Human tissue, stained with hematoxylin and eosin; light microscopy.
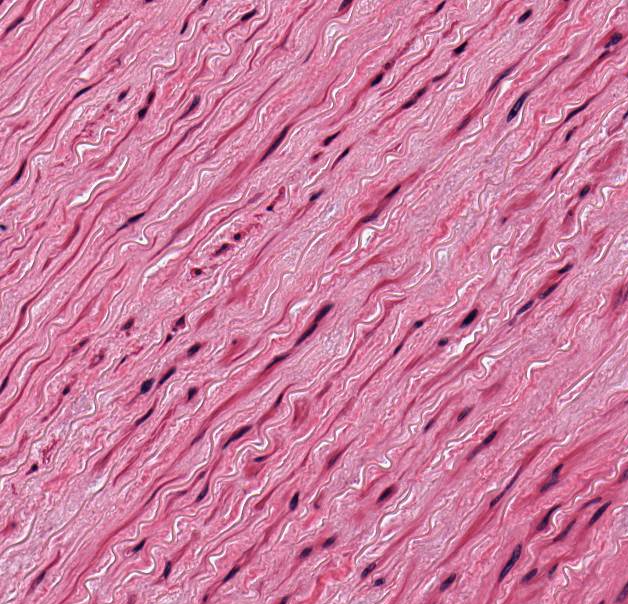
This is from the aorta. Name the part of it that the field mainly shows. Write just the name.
tunica media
